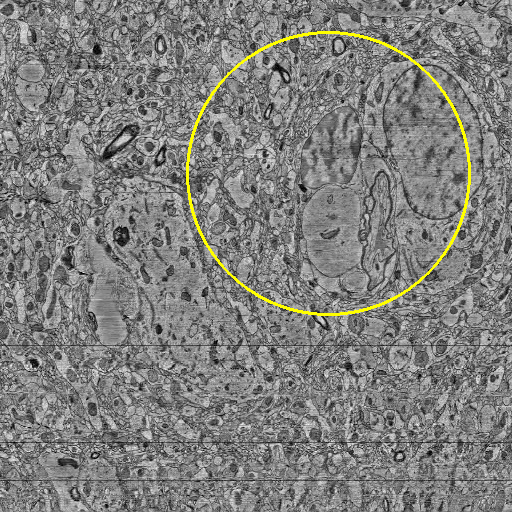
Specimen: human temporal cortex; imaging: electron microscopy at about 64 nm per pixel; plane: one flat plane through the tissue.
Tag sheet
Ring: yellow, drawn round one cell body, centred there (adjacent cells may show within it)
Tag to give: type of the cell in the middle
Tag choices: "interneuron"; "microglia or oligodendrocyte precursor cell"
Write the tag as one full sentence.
I tag the cell centred in the yellow ring as a microglial cell or oligodendrocyte precursor cell in this picture.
